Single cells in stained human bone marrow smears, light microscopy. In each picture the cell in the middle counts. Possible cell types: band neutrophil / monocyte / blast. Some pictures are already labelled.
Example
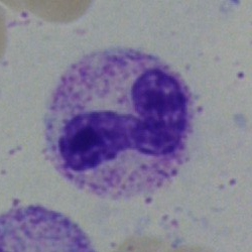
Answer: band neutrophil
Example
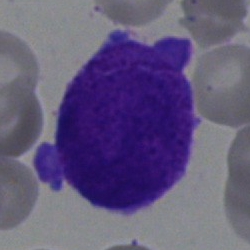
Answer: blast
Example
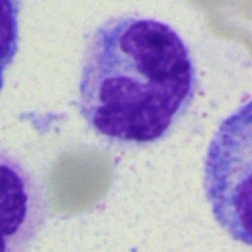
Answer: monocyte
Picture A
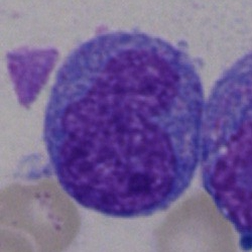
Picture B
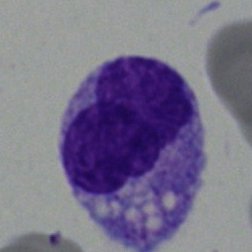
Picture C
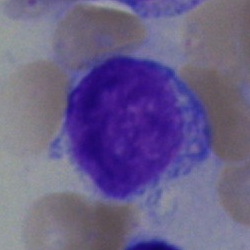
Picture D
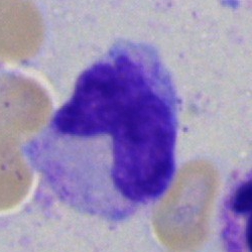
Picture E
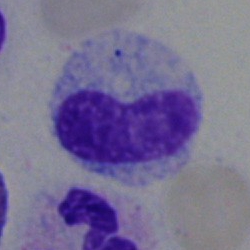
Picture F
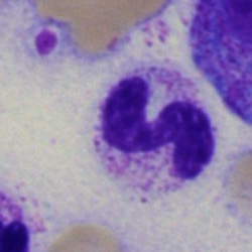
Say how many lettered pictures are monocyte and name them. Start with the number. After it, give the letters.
1: B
